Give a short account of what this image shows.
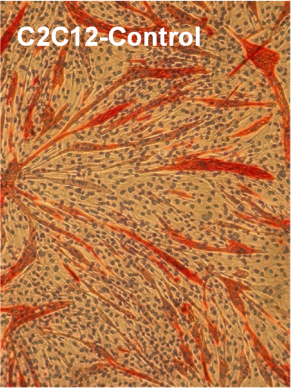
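This is a confluent culture of differentiating muscle precursor cells in which many myotubes stand out by their red staining. The myotubes are long, spindle-shaped or ribbon-like cells, some broad and branching, lying in streams and in places radiating from a common point.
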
